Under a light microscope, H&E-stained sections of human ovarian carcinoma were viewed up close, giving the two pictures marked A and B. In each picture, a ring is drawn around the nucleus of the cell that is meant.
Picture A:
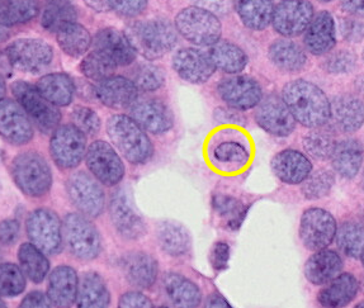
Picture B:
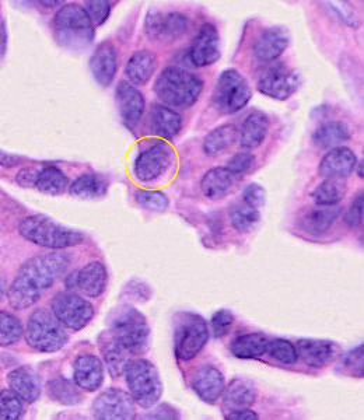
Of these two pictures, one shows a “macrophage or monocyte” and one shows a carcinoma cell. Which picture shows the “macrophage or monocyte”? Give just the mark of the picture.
A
